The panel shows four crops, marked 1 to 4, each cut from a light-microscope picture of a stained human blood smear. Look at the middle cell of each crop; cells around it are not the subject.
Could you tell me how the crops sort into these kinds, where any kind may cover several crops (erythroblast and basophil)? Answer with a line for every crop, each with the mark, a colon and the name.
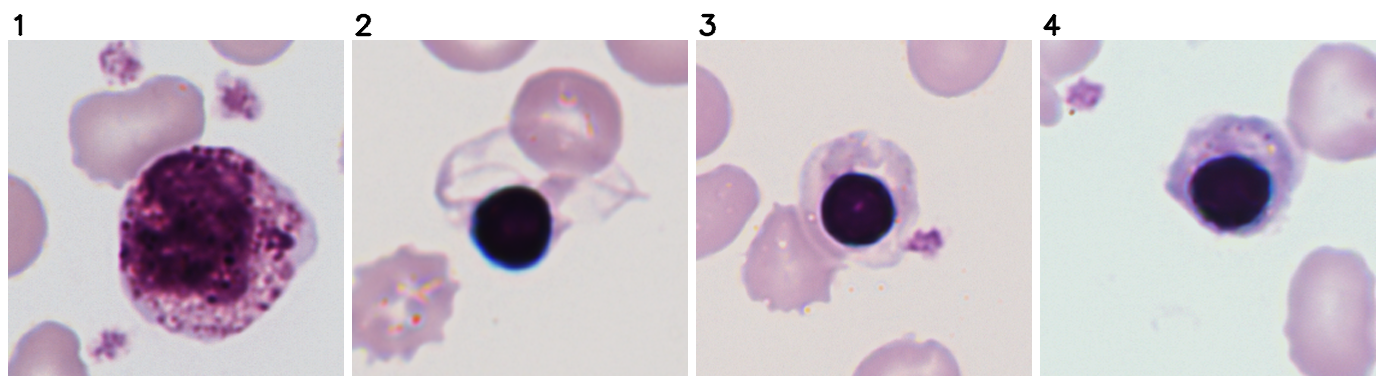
1: basophil
2: erythroblast
3: erythroblast
4: erythroblast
